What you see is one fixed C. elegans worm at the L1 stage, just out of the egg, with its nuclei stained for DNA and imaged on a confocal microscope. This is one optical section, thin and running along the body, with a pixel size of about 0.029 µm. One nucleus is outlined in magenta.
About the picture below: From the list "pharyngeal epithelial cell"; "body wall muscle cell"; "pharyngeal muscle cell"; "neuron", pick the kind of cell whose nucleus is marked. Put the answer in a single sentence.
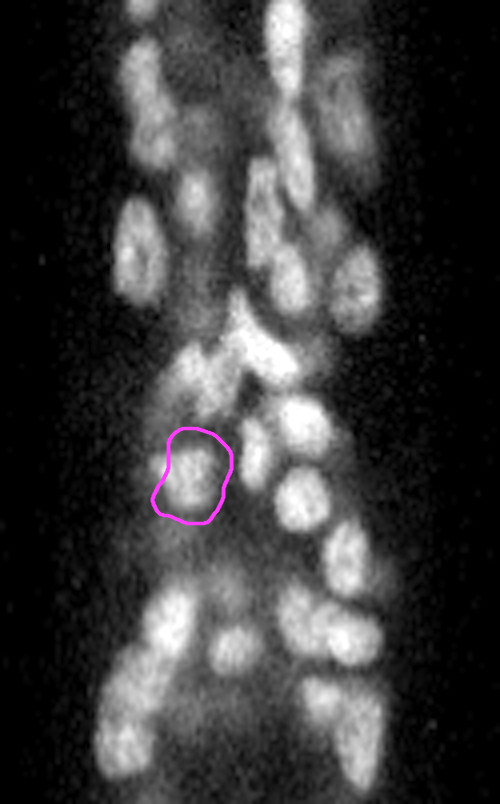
It belongs to a pharyngeal muscle cell.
